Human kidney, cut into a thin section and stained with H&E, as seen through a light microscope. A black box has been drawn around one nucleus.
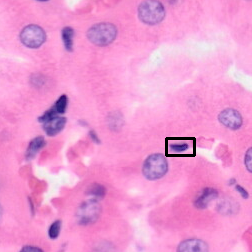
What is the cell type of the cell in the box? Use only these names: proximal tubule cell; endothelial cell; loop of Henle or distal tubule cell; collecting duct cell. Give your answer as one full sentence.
As for its identity, the cell in the box is an endothelial cell.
